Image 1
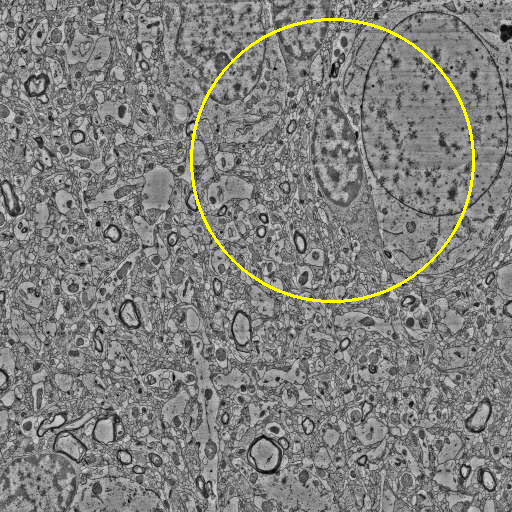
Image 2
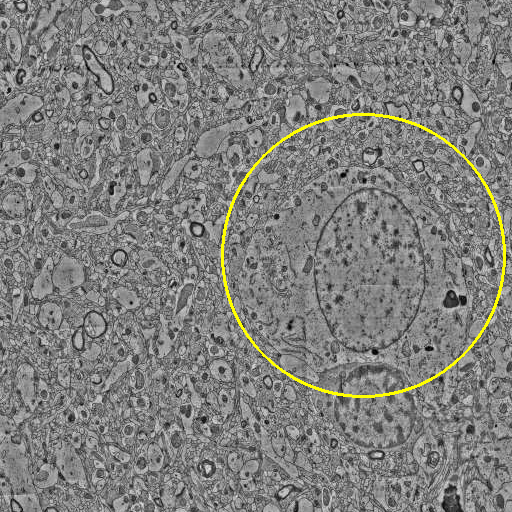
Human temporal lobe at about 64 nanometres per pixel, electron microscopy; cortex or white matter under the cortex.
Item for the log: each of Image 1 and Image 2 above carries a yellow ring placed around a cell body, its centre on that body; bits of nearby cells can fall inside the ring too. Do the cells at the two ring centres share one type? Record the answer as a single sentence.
No, the two cells at the ring centres in Image 1 and Image 2 are of two types.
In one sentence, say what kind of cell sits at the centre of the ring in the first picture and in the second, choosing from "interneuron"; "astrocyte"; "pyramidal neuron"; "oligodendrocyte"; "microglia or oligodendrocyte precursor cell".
The first picture's ringed cell is an oligodendrocyte, while the second picture's is a pyramidal neuron.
